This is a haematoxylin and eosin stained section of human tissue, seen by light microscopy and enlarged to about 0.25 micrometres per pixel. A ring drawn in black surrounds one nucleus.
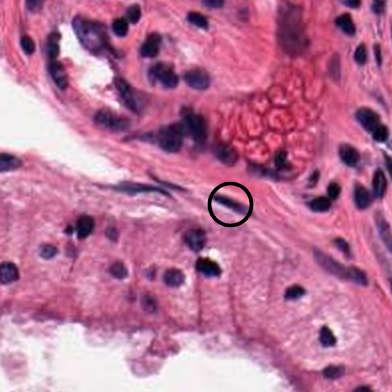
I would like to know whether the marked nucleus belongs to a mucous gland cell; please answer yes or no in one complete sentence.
No, a supporting cell rather than a mucous gland cell is the cell of the marked nucleus.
